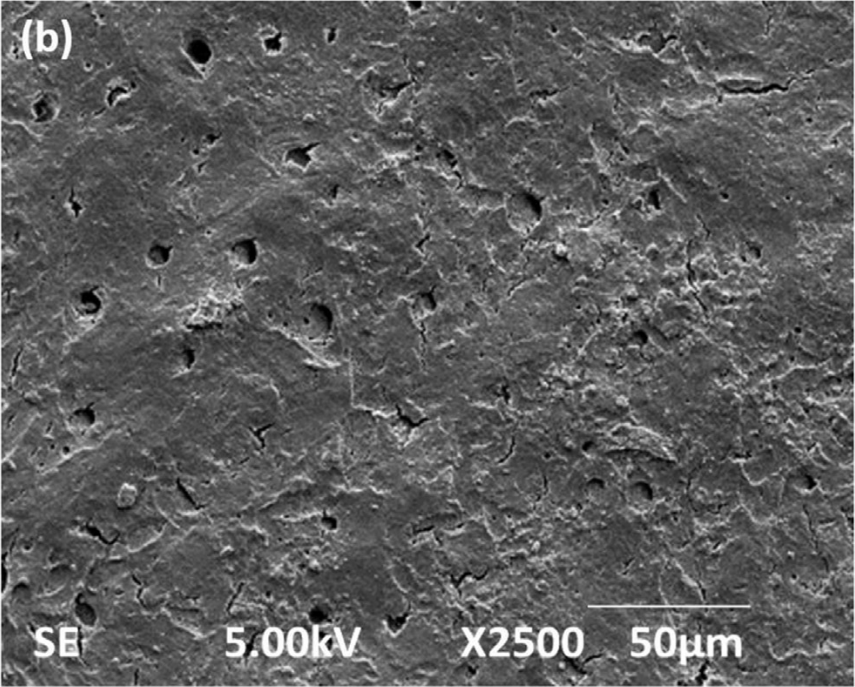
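This is a scanning electron micrograph of a dentine surface on which the openings of dentinal tubules are exposed. The tubule orifices appear as round dark holes a few micrometres across, scattered irregularly over the field. The intertubular surface between them is relatively smooth and flat, crossed by fine cracks and small ridges. Only small patches of residual debris remain, so the surface is largely free of a covering layer.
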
